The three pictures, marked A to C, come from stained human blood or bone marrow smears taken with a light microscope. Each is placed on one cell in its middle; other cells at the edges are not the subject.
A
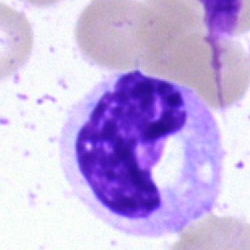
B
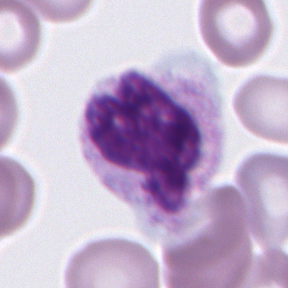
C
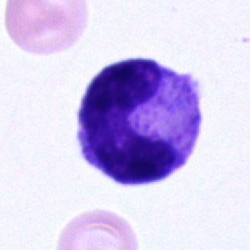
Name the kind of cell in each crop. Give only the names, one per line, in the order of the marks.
band neutrophil
segmented neutrophil
band neutrophil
